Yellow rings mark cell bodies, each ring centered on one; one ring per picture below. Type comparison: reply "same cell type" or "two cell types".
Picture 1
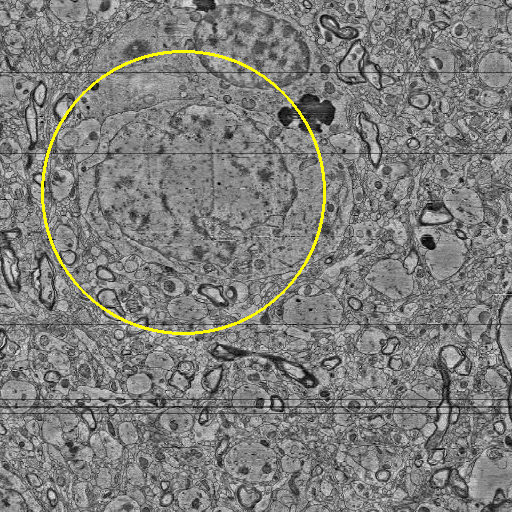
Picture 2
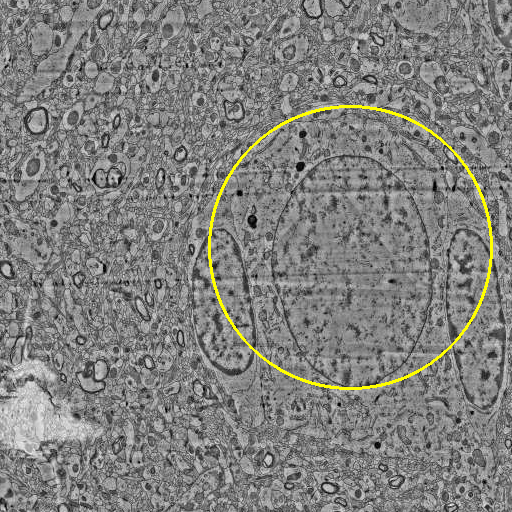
two cell types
